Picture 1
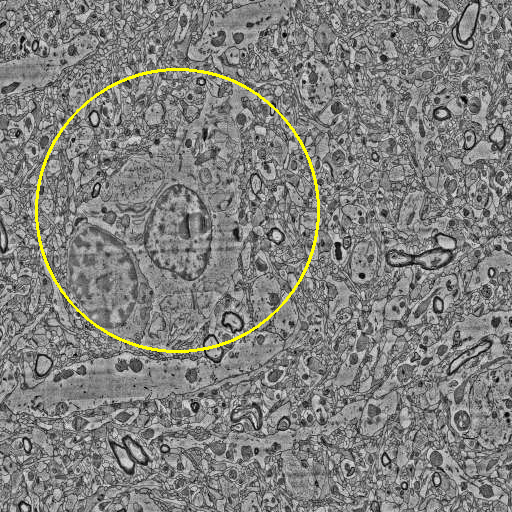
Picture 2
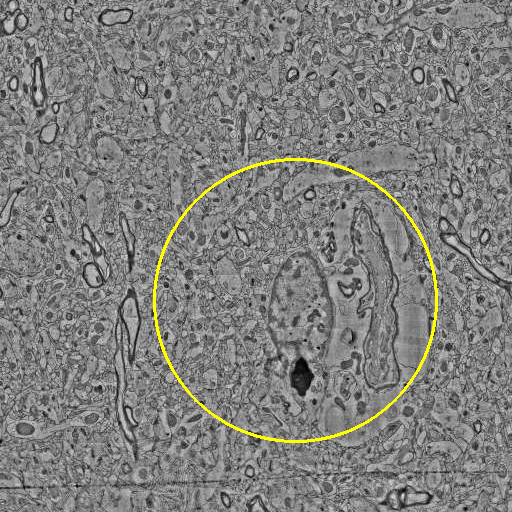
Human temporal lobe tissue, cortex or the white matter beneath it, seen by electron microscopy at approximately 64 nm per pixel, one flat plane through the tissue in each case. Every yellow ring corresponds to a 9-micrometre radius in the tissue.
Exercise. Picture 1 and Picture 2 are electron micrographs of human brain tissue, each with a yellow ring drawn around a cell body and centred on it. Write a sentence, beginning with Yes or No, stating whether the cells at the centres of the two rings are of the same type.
No, the cells at the centres of the rings are of two types.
